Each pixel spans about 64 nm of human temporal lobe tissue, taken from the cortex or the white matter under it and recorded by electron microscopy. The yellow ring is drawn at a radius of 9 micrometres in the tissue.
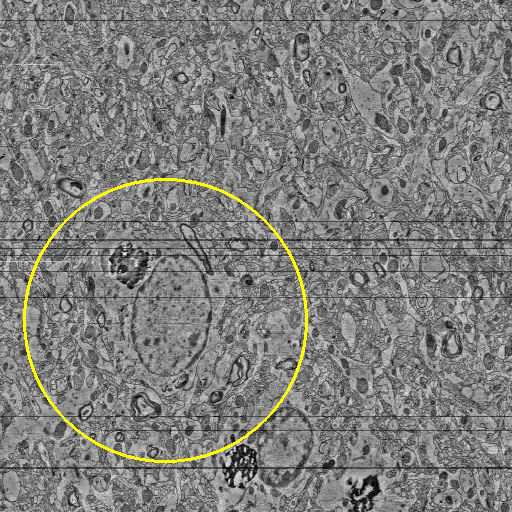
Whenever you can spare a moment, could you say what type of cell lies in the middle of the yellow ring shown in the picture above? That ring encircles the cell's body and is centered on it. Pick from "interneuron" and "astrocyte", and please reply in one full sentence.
The cell whose body sits at the middle of the yellow ring is an astrocyte.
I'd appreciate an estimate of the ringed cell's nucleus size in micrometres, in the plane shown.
Roughly 8 by 5 micrometres; in this plane, clearly longer than it is wide.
